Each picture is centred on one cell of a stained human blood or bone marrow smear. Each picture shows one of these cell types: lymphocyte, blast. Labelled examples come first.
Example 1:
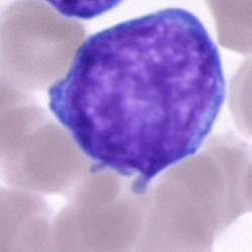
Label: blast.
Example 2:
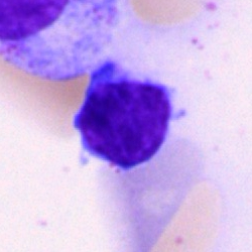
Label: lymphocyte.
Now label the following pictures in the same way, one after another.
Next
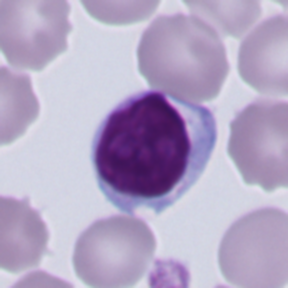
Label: lymphocyte.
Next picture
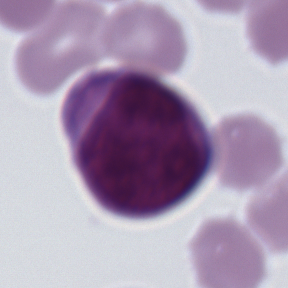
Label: blast.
